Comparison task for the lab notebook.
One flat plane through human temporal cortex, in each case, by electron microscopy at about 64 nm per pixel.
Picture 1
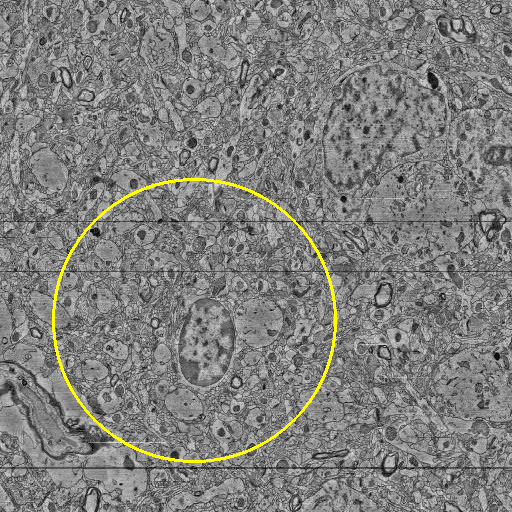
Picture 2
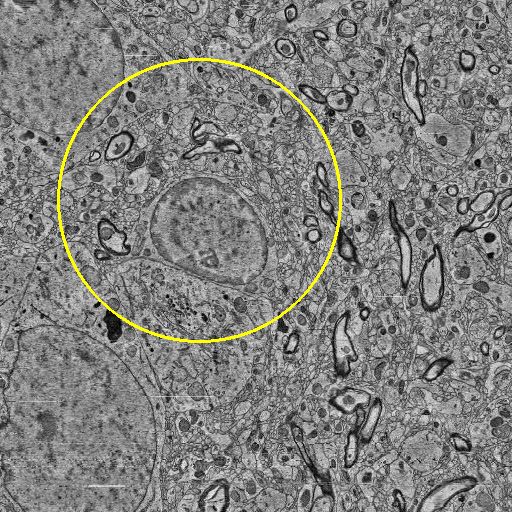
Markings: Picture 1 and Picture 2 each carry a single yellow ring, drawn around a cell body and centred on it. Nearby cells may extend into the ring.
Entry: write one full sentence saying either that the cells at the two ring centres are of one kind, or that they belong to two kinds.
The cells sitting at the ring centres in Picture 1 and Picture 2 belong to two kinds.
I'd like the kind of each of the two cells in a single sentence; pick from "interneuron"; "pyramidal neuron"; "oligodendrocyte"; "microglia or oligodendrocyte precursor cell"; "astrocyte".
The first ring marks a microglial cell or oligodendrocyte precursor cell, and the second ring marks an oligodendrocyte.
